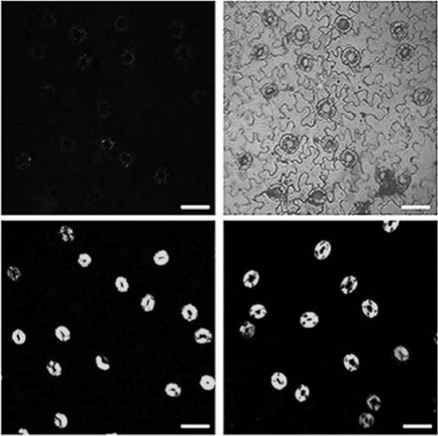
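These are leaf epidermal peels with many stomata, each made of a pair of guard cells around a central pore. In the transmitted-light image the guard cell pairs sit scattered among pavement cells with wavy, interlocking walls. In three of the images only the fluorescence is shown, so the pavement cells are dark and the guard cell pairs stand out as small bright rings or kidney-shaped pairs. In one of these the guard cells glow only faintly, while in the other two they are strongly bright, some with speckled or patchy fluorescence inside the cells.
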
